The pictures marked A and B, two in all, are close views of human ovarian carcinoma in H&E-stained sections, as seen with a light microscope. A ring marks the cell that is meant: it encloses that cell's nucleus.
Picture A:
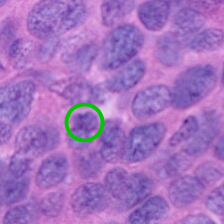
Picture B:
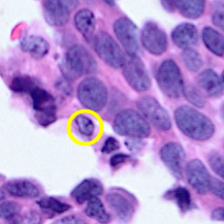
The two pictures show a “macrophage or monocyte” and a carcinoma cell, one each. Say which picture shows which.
A: carcinoma cell
B: macrophage or monocyte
